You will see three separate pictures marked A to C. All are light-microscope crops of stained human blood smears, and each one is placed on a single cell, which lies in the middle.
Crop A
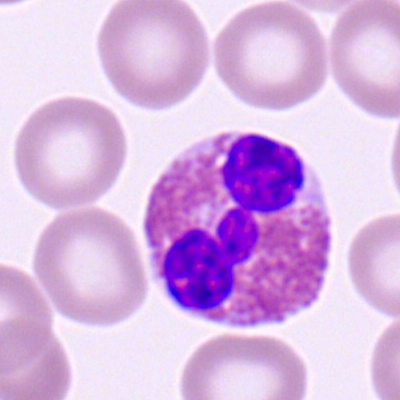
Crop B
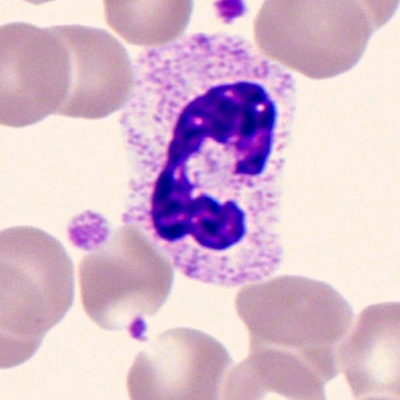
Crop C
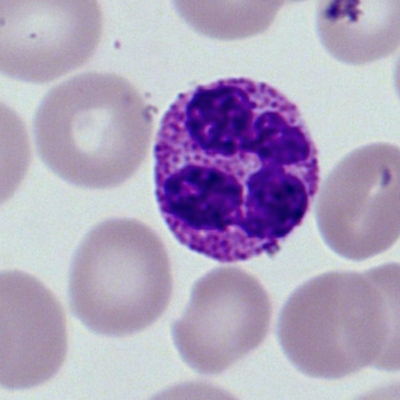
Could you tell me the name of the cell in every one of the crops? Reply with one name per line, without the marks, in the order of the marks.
eosinophil
neutrophil
eosinophil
